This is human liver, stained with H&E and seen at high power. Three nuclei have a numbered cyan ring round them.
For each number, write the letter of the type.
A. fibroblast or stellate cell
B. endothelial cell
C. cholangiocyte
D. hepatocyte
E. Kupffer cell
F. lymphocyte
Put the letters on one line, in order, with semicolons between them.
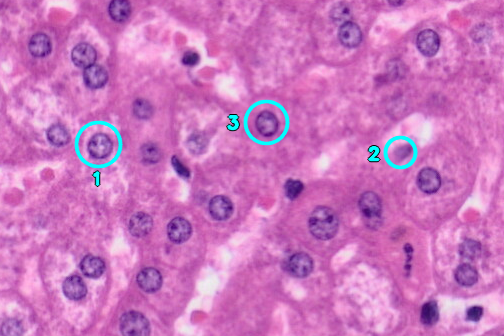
D; E; D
